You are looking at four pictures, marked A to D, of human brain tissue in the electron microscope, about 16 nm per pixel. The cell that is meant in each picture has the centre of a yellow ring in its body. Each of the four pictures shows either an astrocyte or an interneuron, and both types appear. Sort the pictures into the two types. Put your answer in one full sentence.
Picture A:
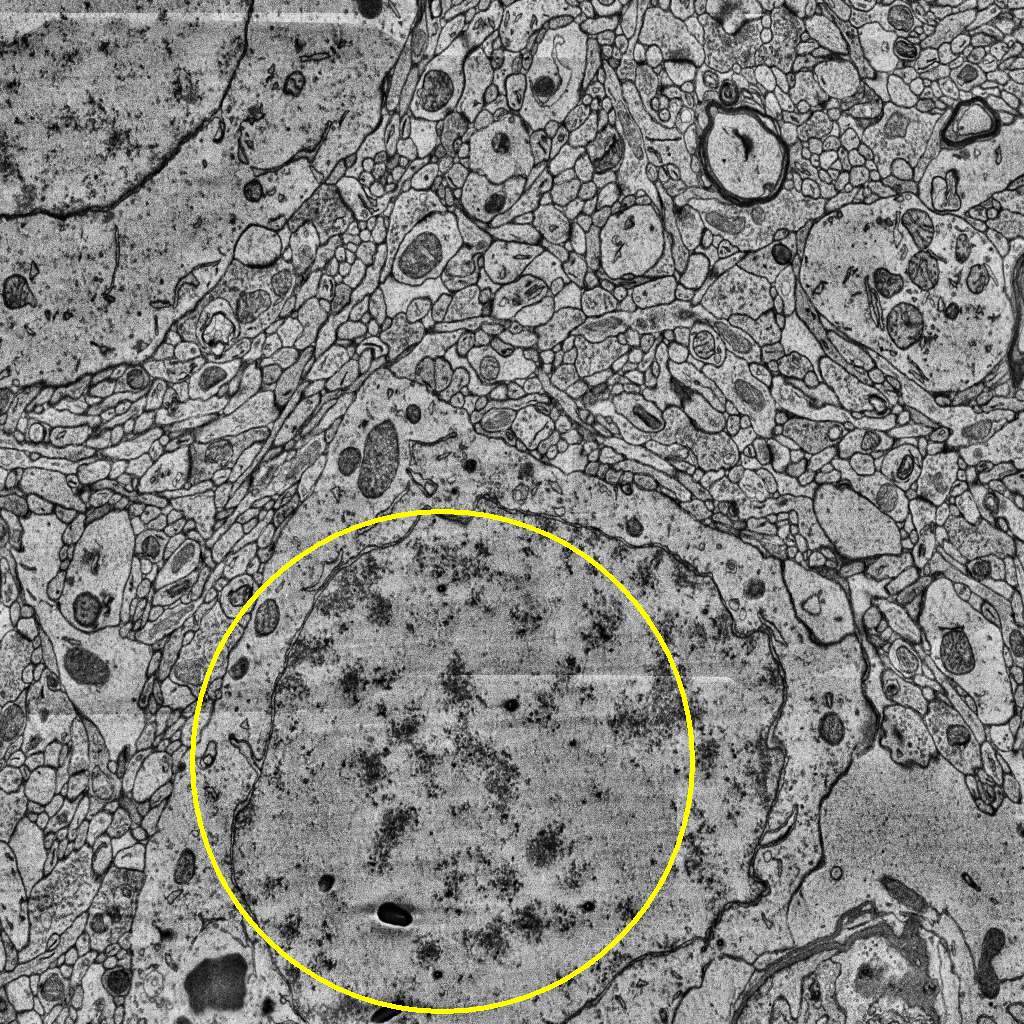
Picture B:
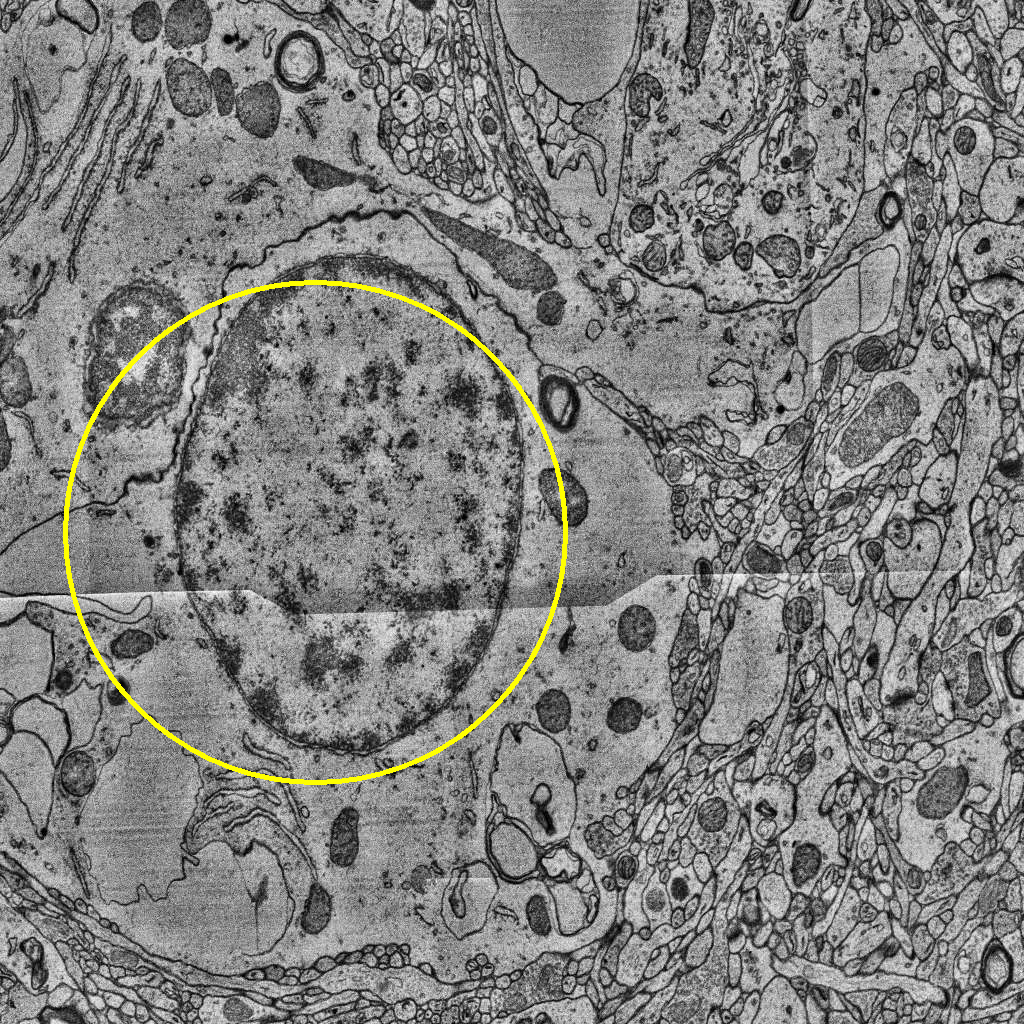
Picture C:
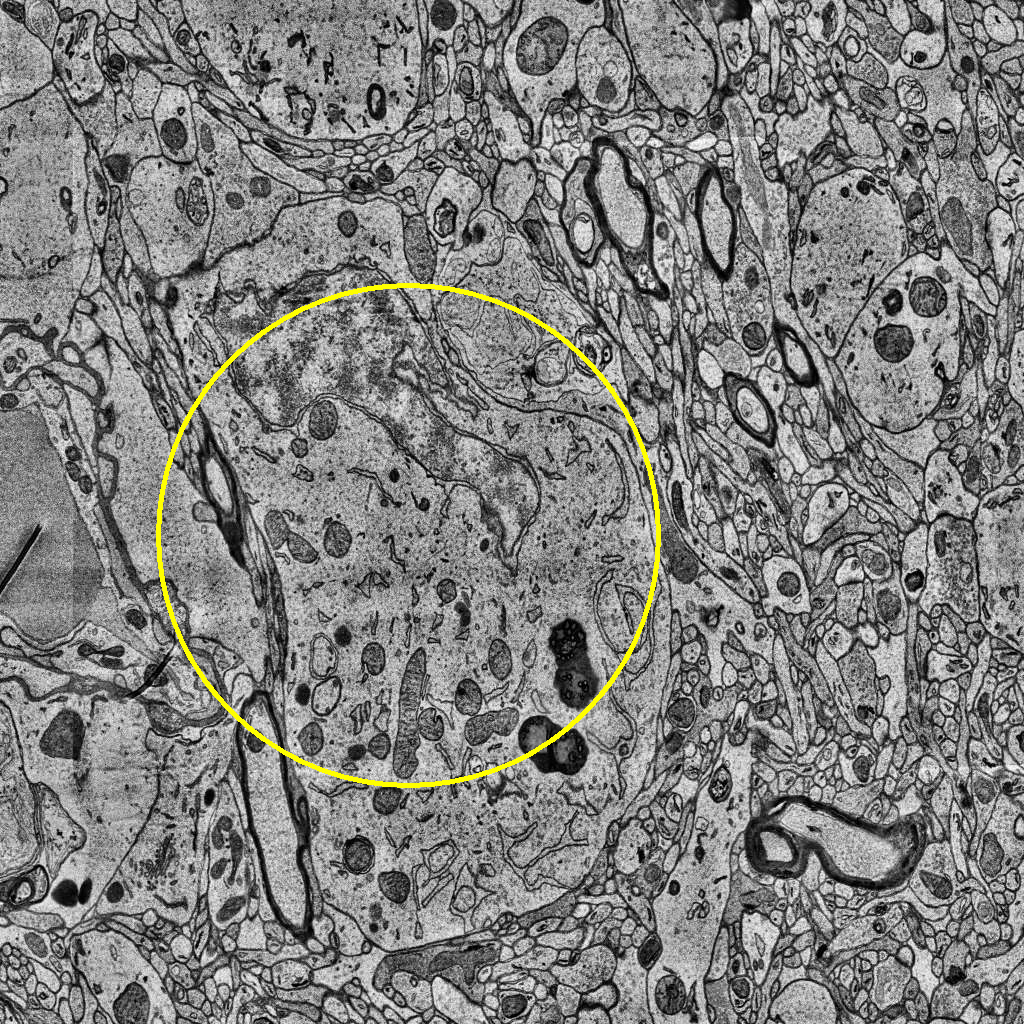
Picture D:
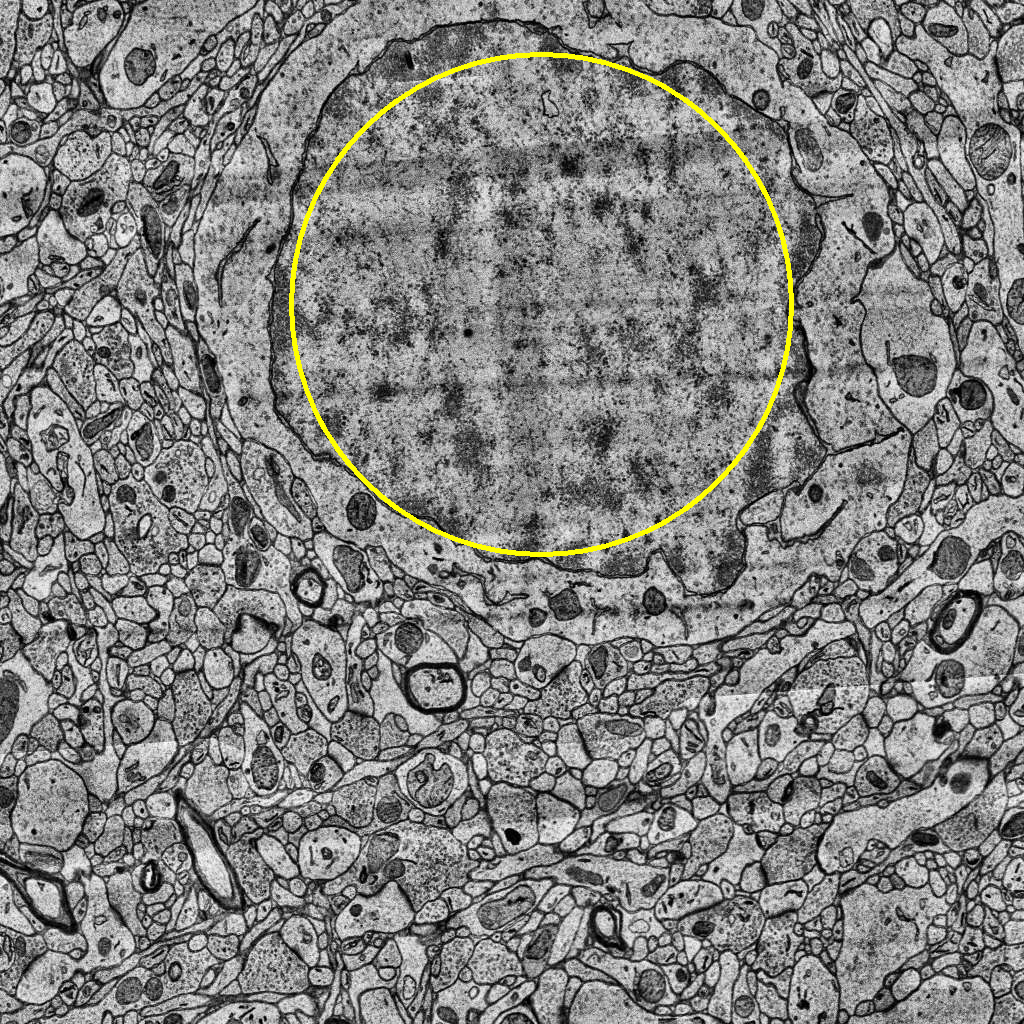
Picture B shows an astrocyte, while pictures A, C and D show interneurons.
